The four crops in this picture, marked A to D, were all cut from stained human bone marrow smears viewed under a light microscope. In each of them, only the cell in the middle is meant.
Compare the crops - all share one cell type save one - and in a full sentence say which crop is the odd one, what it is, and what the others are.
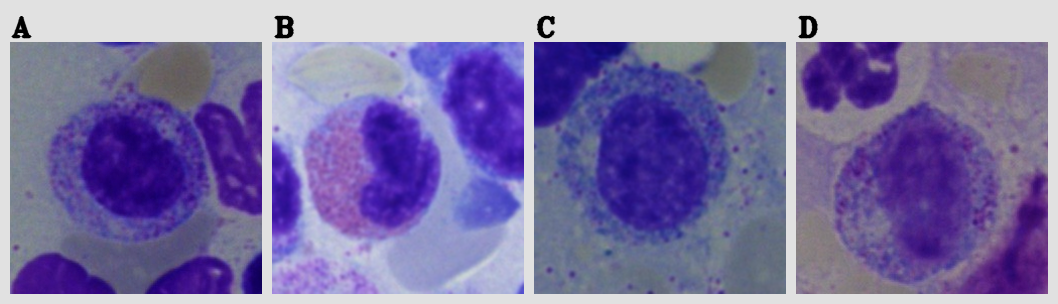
Here the outlier is crop B, which is an eosinophil, and the rest are myelocytes.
